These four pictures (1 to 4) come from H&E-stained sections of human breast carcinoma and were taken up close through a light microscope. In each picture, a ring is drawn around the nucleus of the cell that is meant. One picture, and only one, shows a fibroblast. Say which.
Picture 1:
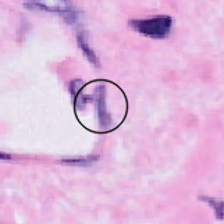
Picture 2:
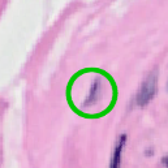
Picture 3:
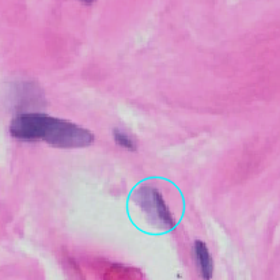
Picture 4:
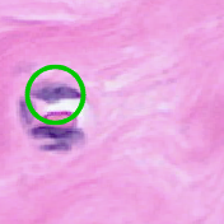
2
